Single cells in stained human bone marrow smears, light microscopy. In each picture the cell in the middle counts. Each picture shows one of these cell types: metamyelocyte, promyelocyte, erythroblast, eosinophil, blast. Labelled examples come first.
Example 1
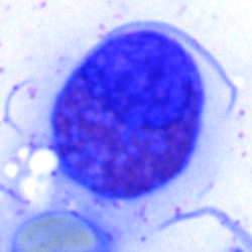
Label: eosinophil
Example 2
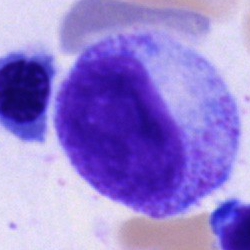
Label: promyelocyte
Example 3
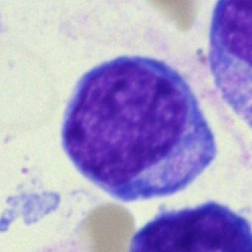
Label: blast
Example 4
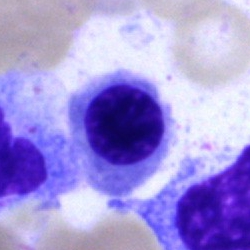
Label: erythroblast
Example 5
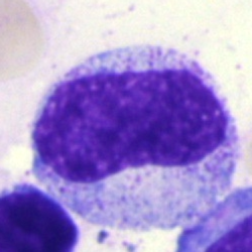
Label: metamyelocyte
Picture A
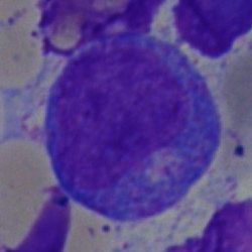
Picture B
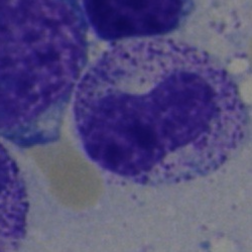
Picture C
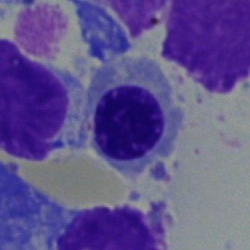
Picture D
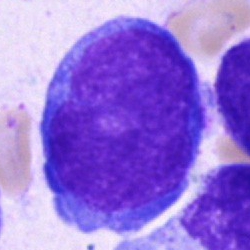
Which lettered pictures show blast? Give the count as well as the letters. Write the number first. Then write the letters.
1: D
